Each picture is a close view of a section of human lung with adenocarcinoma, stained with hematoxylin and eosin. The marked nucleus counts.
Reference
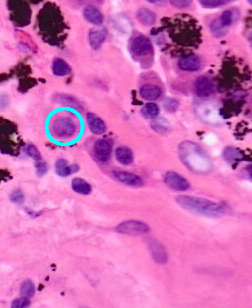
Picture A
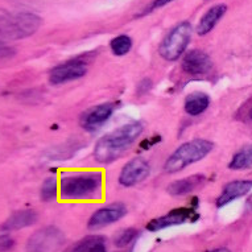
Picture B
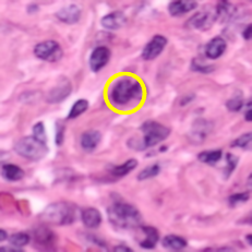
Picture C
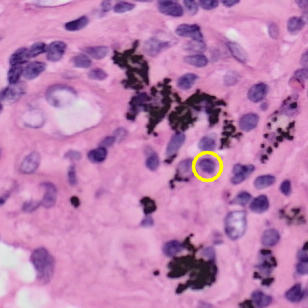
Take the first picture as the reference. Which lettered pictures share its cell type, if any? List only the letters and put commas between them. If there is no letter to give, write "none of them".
A, B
